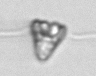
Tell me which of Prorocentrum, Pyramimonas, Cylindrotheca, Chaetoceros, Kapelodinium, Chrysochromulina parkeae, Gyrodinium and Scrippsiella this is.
The picture shows Pyramimonas.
